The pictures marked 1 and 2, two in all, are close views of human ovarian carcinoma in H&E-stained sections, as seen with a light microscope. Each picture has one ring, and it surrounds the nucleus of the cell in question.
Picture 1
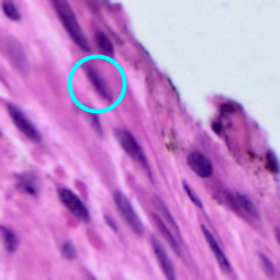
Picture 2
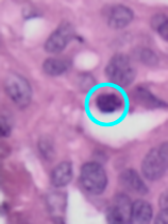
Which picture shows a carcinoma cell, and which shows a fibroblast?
1: fibroblast
2: carcinoma cell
